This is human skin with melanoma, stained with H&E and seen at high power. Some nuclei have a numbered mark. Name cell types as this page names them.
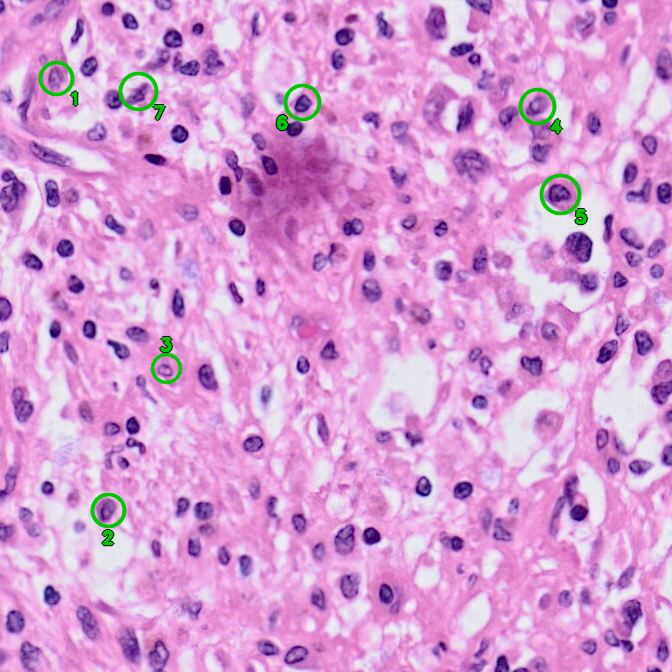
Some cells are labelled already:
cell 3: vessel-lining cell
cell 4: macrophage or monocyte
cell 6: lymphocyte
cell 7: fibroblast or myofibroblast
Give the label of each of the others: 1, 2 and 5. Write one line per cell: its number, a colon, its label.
1: macrophage or monocyte
2: macrophage or monocyte
5: macrophage or monocyte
